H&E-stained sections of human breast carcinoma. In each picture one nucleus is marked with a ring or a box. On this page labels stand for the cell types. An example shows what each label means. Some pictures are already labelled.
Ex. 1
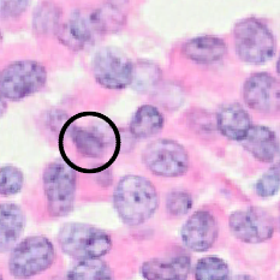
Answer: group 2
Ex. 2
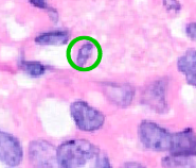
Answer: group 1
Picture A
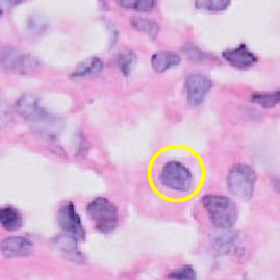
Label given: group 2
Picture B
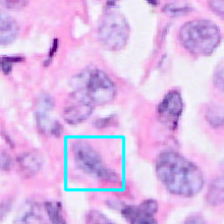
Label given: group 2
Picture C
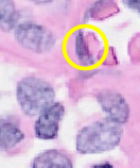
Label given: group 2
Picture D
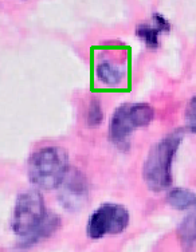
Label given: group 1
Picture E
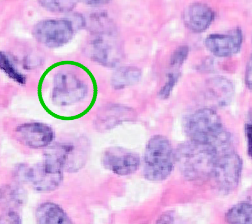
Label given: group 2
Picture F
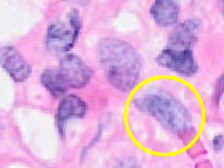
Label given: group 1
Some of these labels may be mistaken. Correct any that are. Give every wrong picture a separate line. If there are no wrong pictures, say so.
B: not group 2 but group 1
C: not group 2 but group 1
